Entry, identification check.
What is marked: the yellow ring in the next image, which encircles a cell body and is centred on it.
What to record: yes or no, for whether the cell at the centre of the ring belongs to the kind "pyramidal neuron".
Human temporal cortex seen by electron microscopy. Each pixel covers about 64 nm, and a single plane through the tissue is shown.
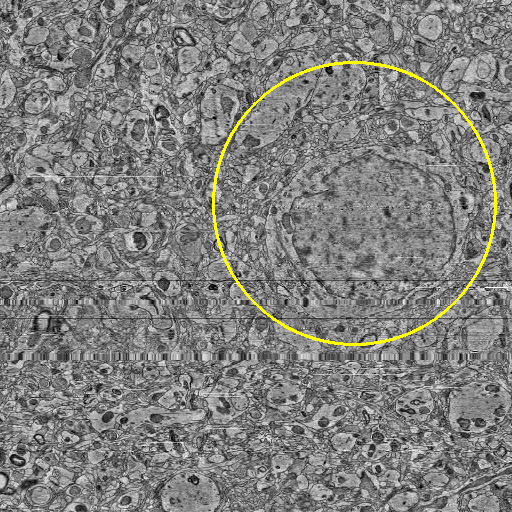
No, it belongs to another kind.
